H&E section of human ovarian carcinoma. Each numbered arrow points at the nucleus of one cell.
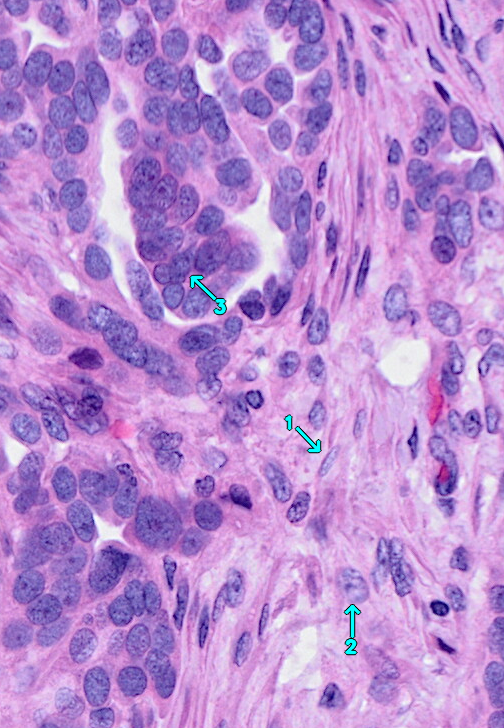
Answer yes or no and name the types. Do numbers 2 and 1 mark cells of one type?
Yes, both are fibroblasts.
